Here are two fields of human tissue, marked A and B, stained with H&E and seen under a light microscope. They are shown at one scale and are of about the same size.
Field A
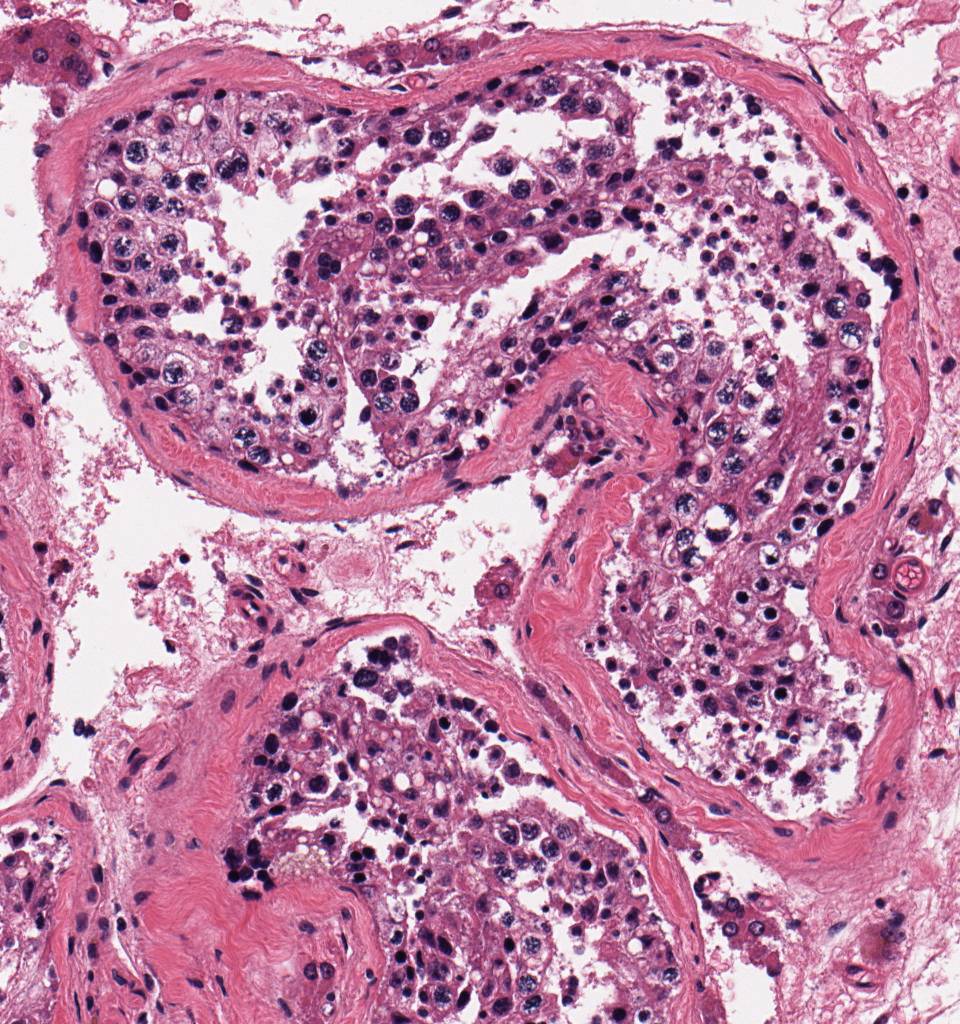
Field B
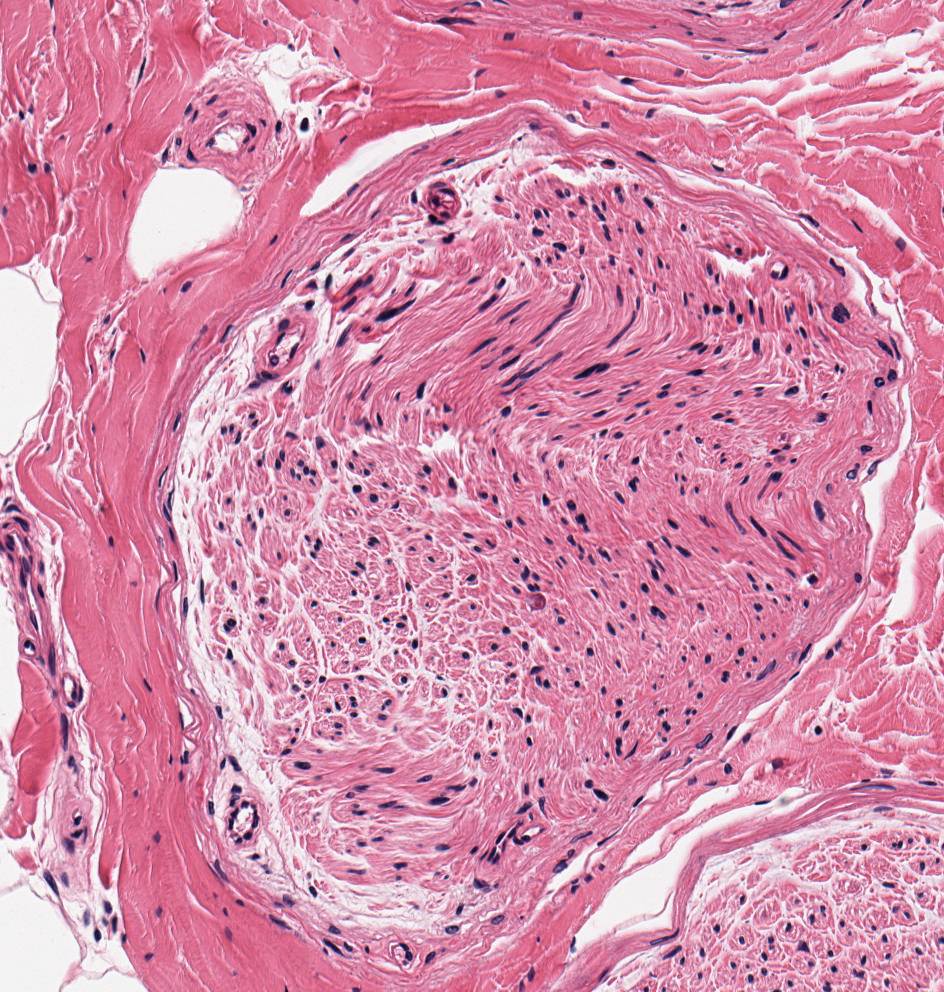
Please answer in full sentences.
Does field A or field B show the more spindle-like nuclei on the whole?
Longer, more slender nuclei lie in field B.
